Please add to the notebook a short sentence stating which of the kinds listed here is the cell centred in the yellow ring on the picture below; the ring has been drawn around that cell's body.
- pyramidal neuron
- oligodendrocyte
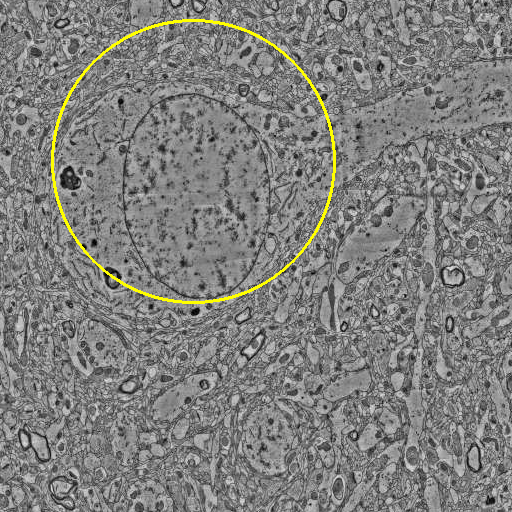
The cell centred in the yellow ring is a pyramidal neuron.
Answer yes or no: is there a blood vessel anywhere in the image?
No, there is no blood vessel in the image.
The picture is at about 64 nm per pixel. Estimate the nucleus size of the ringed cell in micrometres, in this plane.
In this plane, about 13 micrometres in length and 10 in width.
